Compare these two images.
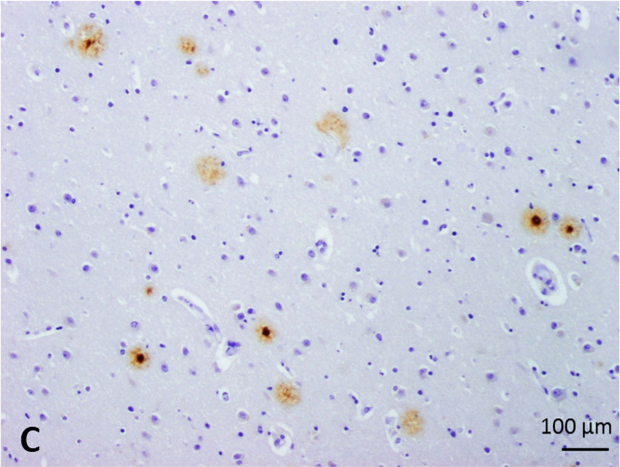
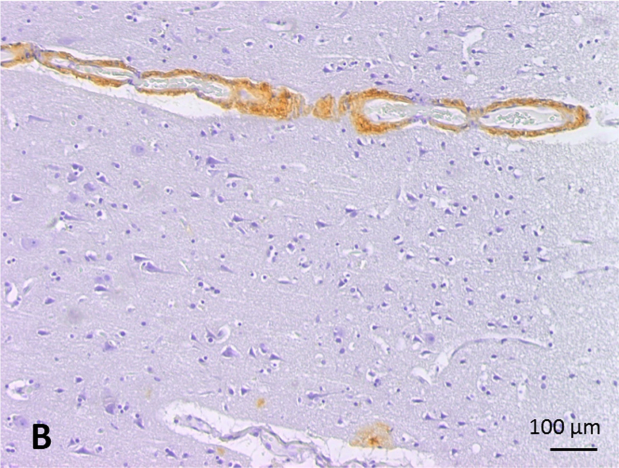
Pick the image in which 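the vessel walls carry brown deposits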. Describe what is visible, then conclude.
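First image: vessel walls are unstained while round brown deposits sit in the tissue. Second image: a large vessel wall is heavily stained brown while the tissue around it is clear. The answer: the second image.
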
